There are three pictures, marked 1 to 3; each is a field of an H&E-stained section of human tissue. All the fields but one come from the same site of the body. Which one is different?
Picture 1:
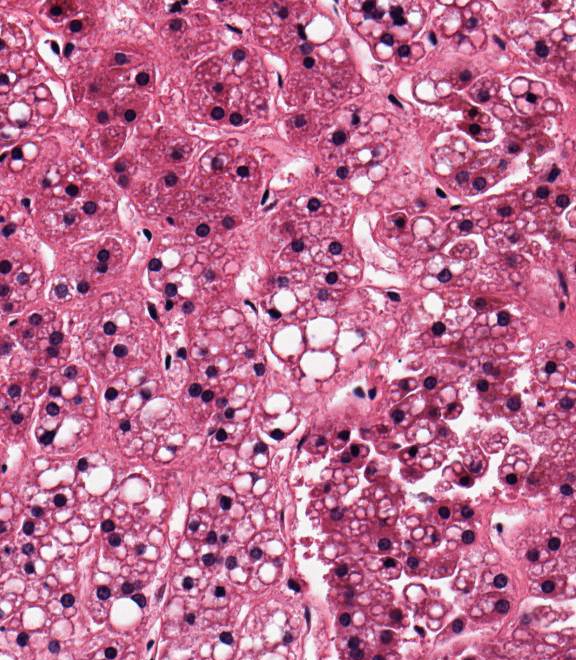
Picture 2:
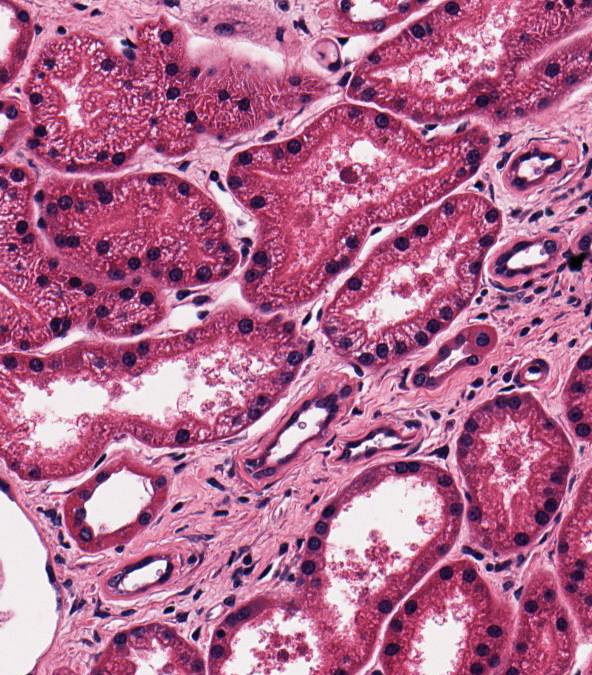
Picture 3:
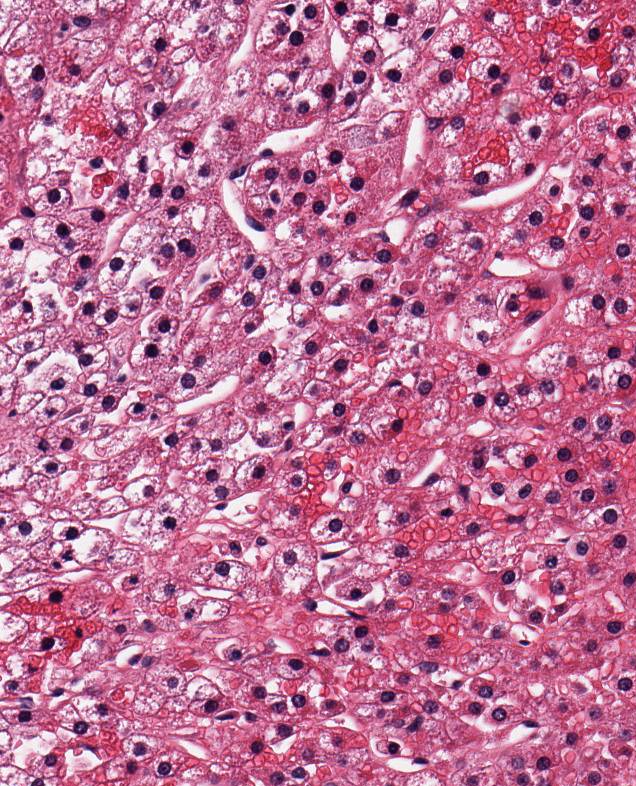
2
